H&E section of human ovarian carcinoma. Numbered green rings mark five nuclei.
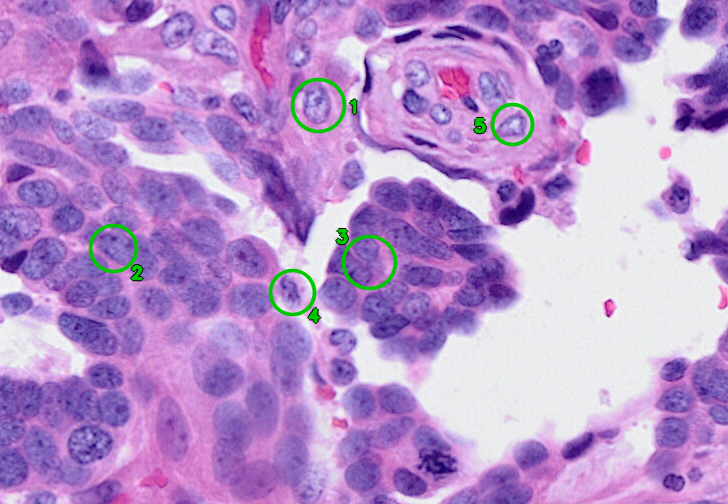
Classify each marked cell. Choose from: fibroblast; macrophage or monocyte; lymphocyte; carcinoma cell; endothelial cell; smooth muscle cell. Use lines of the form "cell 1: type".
cell 1: fibroblast
cell 2: carcinoma cell
cell 3: carcinoma cell
cell 4: macrophage or monocyte
cell 5: fibroblast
